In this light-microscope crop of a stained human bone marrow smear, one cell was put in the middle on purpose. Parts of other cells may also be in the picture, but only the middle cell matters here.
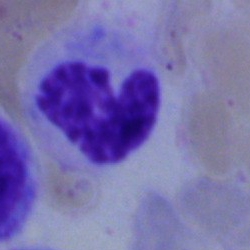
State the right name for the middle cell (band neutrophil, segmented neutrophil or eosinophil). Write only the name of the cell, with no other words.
band neutrophil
